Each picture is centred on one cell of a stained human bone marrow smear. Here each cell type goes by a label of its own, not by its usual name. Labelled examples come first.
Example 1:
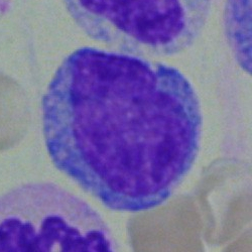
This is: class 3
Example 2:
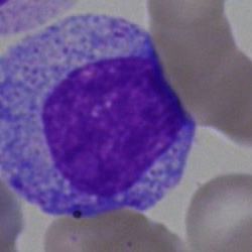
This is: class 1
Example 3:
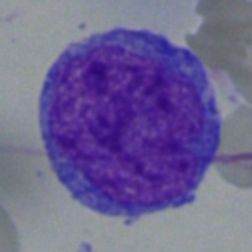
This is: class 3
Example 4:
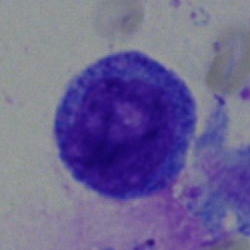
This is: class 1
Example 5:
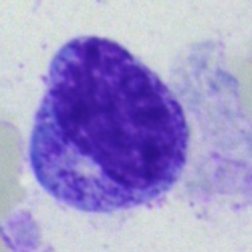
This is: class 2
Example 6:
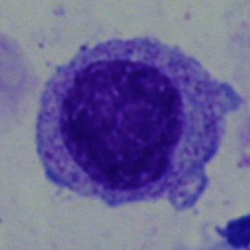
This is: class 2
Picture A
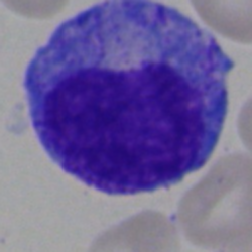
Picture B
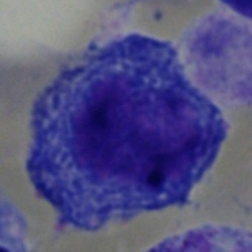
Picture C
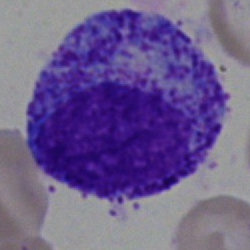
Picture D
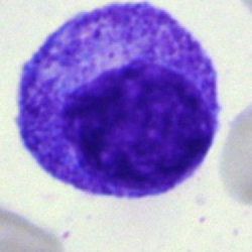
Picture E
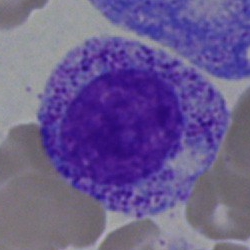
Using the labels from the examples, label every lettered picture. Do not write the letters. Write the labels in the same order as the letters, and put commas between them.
class 1, class 1, class 1, class 1, class 2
